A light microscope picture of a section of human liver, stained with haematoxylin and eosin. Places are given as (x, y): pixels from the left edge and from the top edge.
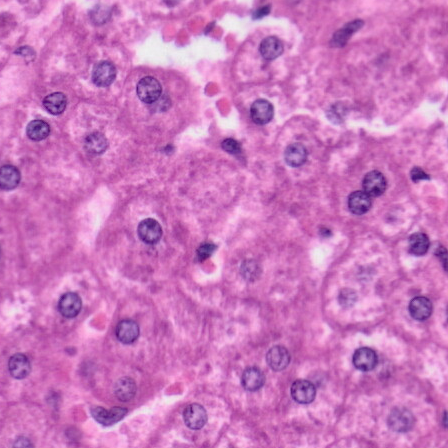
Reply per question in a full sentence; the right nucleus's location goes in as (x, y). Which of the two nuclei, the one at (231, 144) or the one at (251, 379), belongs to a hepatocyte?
The nucleus at (251, 379) is contained in a hepatocyte.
